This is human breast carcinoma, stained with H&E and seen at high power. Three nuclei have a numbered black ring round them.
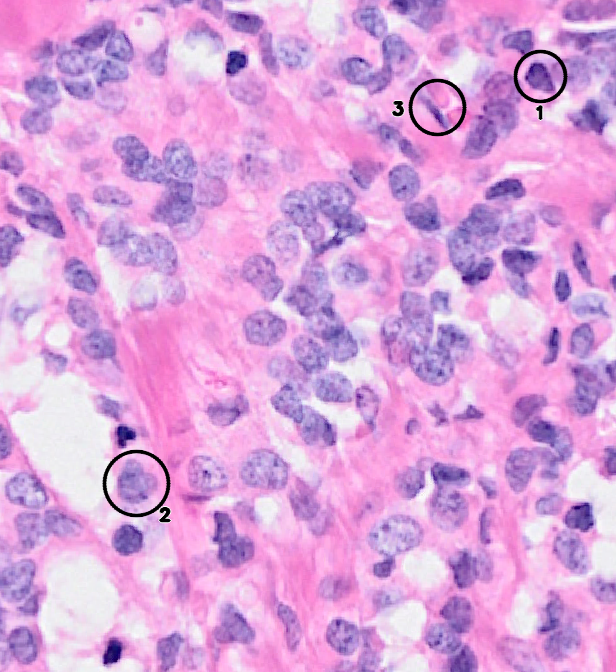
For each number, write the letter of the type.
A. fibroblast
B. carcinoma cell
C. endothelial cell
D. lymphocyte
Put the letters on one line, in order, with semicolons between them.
B; B; C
